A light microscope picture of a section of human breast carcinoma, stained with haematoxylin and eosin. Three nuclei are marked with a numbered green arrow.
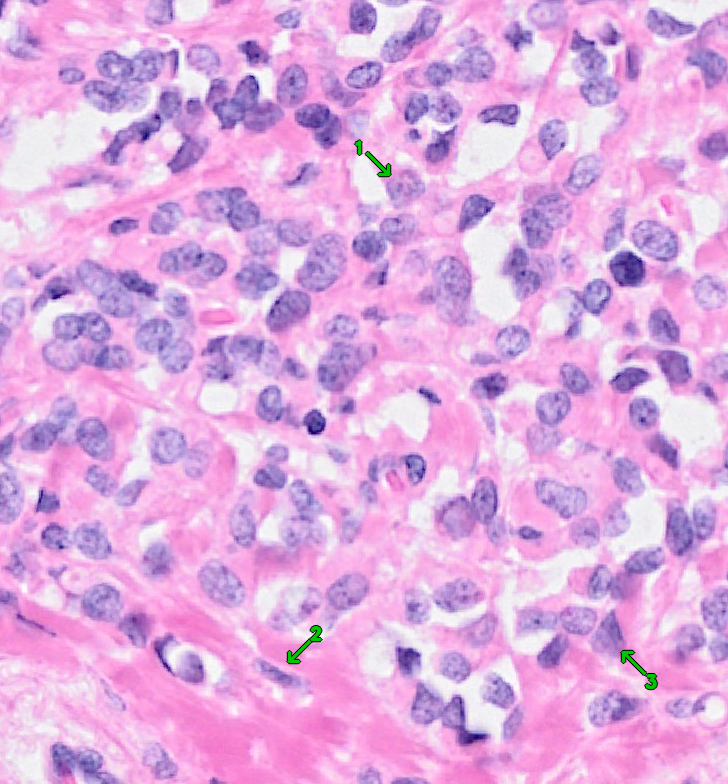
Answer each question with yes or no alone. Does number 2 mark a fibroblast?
yes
